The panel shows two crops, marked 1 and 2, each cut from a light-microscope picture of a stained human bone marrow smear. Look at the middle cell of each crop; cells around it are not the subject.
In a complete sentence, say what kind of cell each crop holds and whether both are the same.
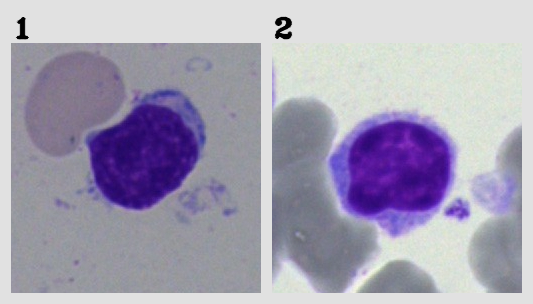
Yes, in both crops the centred cells are lymphocytes.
